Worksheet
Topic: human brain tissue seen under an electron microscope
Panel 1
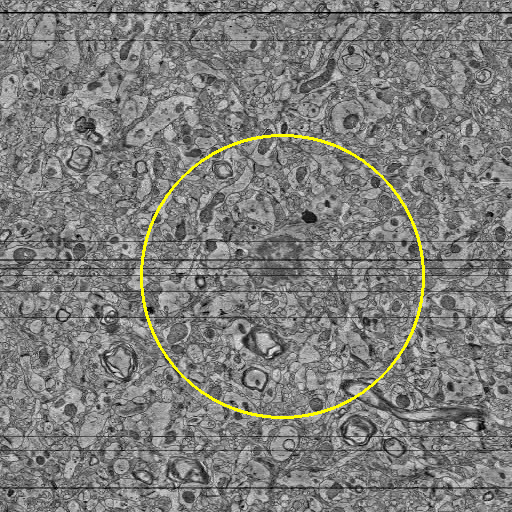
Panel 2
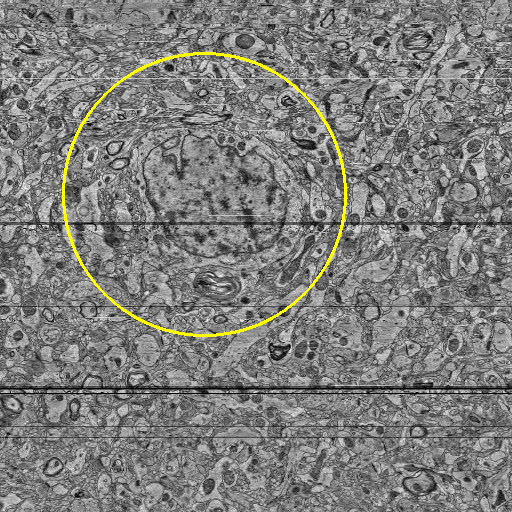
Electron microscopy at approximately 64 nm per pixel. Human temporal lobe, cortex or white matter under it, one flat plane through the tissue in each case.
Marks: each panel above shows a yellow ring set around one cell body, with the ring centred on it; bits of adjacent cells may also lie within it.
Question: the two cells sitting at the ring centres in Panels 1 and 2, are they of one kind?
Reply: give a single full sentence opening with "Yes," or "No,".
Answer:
No, the two ring-centre cells in Panel 1 and Panel 2 are of two kinds.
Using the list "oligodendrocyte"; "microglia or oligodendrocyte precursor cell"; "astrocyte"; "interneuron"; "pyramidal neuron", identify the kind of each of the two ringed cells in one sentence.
The first is an oligodendrocyte and the second is an interneuron.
